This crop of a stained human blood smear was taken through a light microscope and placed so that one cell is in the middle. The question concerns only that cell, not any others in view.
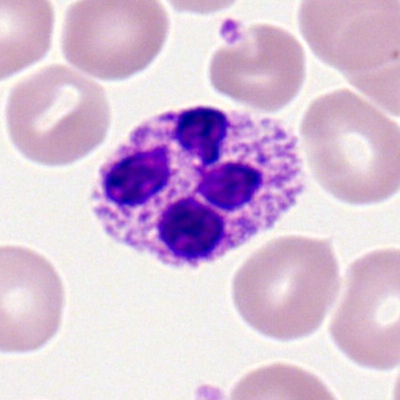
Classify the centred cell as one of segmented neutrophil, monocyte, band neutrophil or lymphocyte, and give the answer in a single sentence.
Located at the centre of the crop is a segmented neutrophil.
